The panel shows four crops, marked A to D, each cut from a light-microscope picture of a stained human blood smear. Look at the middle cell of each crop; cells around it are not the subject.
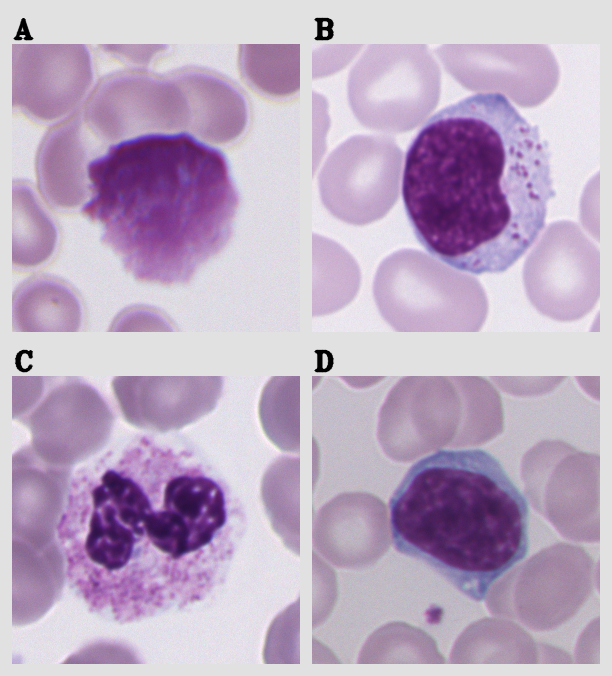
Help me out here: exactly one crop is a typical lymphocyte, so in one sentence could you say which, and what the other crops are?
Identified in crop D is a typical lymphocyte, whereas crop A is a smudge cell, crop B is a large granular lymphocyte and crop C is a segmented neutrophil.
